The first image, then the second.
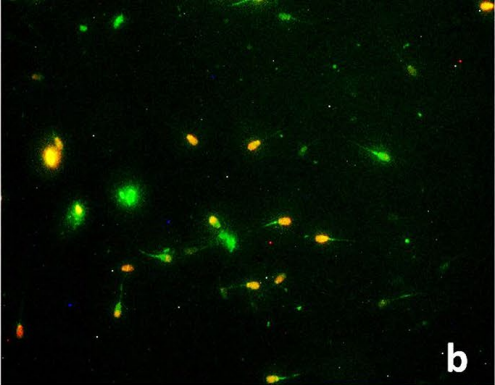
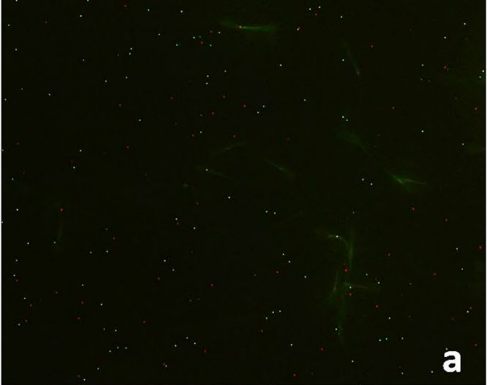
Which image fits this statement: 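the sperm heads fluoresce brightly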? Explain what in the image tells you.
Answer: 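The first image. First image: many bright orange-yellow and green heads on a dark background. Second image: the field is nearly black with only faint green sperm outlines.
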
